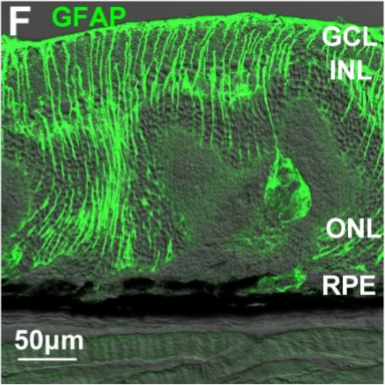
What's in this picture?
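The fibres are thick and densely packed, and some bend and converge around a bulging fold of the outer nuclear layer. The retinal layers are distorted and wavy rather than flat and parallel. The dark pigmented epithelium lies at the bottom, with some green staining reaching it.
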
